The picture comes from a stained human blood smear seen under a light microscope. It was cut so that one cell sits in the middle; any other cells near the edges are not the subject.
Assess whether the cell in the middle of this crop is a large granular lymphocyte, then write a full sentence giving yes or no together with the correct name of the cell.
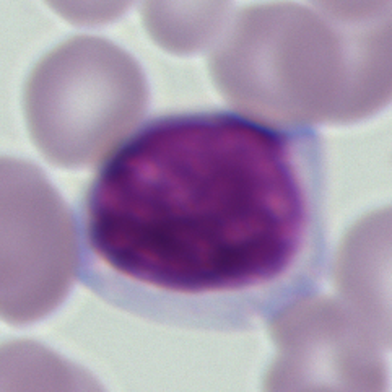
Yes, this crop has a large granular lymphocyte at its centre.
